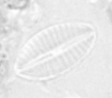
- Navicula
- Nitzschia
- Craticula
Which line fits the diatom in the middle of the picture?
Craticula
